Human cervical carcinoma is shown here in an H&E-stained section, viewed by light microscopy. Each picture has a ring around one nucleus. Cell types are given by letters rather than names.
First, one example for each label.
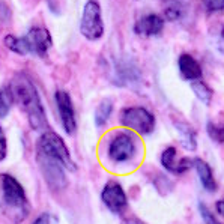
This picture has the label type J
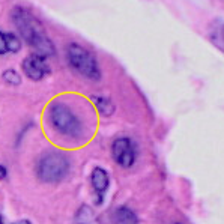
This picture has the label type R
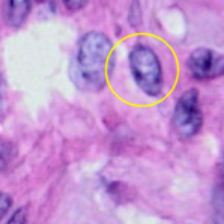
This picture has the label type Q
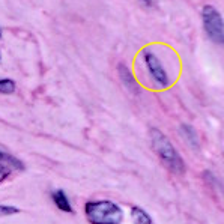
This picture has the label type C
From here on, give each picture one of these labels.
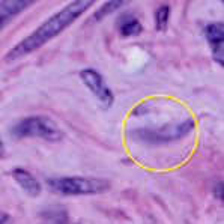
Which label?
type C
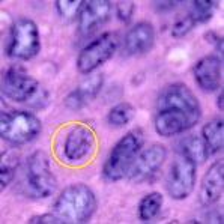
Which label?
type R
